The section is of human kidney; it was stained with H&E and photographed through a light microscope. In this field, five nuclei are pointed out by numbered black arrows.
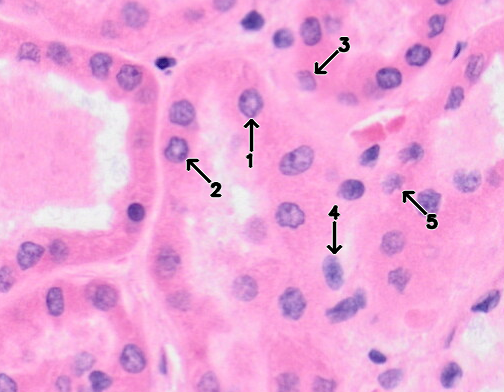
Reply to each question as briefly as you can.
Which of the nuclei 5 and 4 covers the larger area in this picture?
4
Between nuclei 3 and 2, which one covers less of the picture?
3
